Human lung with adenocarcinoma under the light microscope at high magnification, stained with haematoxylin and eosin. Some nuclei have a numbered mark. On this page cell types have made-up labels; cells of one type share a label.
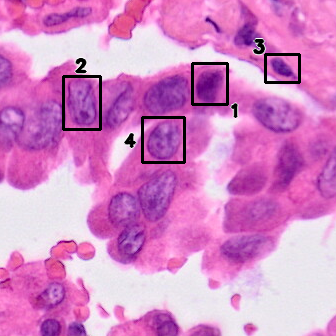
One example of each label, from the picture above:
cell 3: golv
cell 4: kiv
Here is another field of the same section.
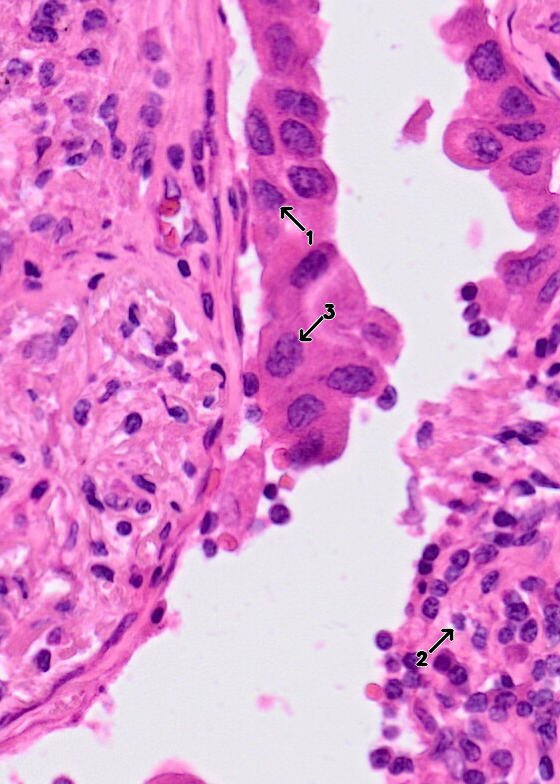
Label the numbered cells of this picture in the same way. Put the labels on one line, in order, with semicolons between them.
kiv; golv; kiv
